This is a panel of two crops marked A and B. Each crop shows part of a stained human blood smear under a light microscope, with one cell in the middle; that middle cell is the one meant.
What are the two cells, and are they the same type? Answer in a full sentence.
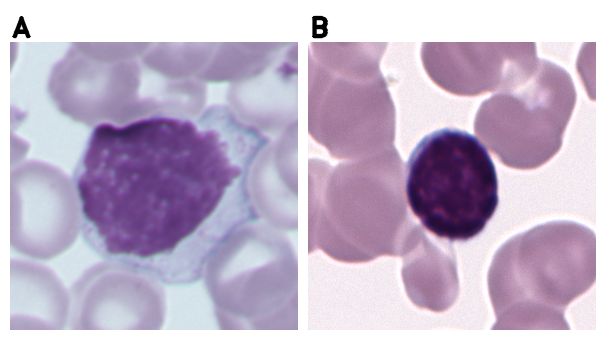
Yes, the cells centred in the two crops are both lymphocytes.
